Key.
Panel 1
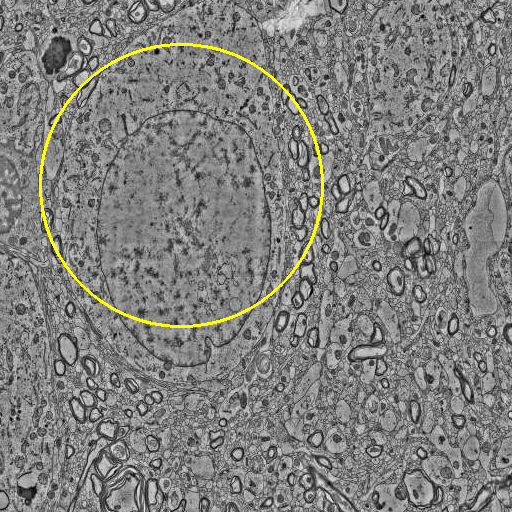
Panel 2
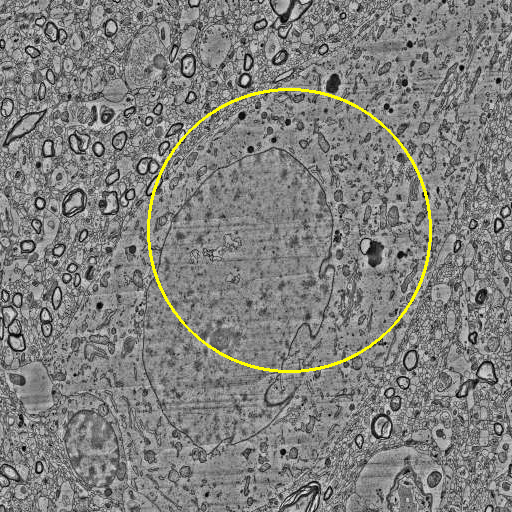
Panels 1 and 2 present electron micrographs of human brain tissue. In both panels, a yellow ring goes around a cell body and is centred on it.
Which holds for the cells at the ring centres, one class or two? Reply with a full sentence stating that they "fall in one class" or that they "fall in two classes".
Taken together, the ring-centre cells of the two panels fall in one class.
